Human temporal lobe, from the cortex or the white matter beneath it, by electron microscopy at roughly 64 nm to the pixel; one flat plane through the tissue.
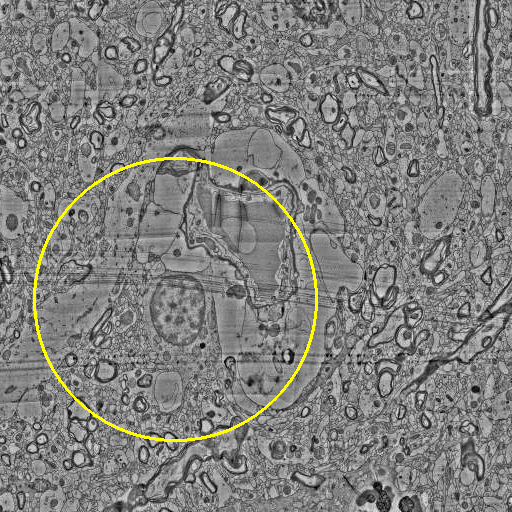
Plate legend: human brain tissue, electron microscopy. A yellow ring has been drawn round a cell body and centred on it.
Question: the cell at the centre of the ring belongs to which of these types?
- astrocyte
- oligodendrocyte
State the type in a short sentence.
The cell in the middle of the ring is an oligodendrocyte.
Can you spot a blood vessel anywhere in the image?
Yes, a blood vessel is present in this picture.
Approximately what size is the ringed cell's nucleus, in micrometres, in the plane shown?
In this plane the nucleus spans approximately 5 by 3 micrometers.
